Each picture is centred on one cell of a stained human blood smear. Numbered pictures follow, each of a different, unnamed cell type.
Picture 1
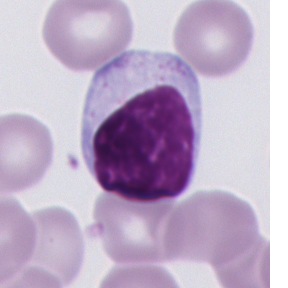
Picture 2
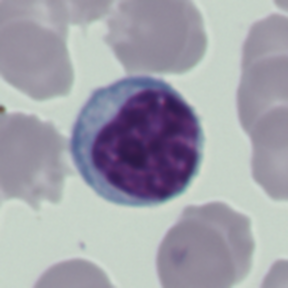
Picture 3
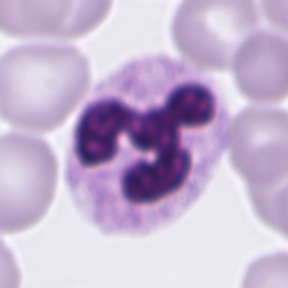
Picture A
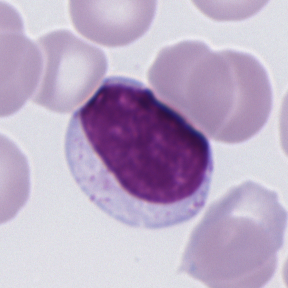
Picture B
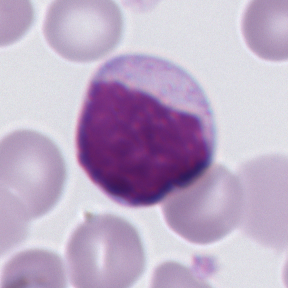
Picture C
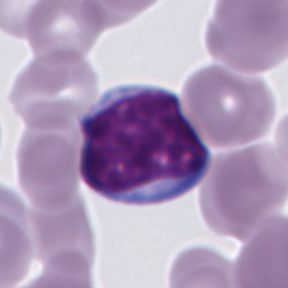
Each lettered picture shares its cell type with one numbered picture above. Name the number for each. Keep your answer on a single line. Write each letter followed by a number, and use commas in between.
A 1, B 1, C 2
